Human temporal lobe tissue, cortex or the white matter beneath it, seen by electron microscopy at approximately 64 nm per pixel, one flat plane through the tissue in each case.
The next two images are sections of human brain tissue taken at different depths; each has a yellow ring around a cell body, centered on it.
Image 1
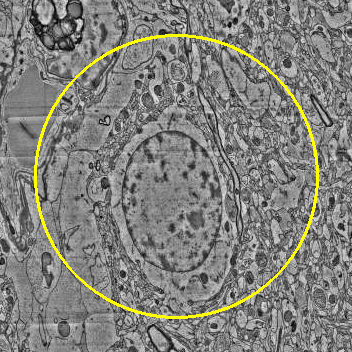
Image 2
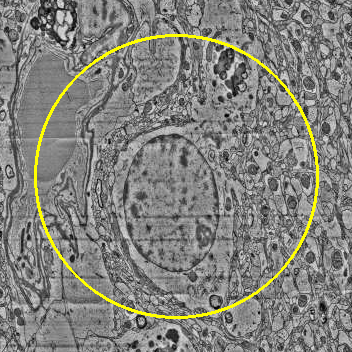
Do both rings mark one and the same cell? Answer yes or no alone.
yes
